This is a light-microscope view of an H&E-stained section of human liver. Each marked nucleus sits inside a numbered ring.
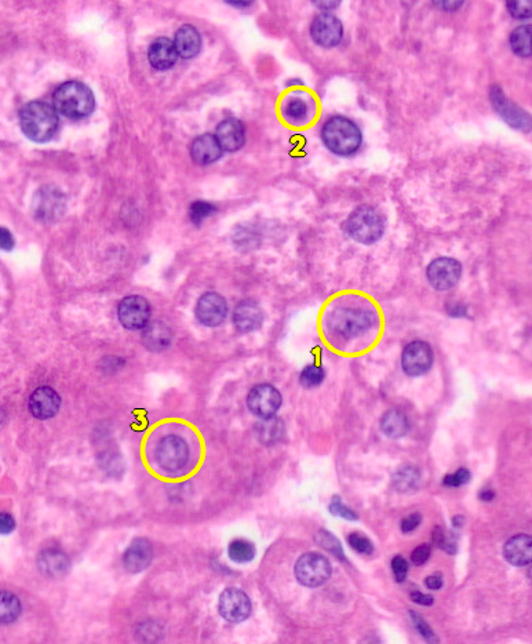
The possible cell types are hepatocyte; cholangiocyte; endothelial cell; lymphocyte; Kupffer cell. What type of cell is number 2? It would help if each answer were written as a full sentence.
The cell bearing label 2 corresponds to a lymphocyte.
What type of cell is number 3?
The cell bearing label 3 corresponds to a hepatocyte.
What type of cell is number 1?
Number 1 among the marked cells is a Kupffer cell.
